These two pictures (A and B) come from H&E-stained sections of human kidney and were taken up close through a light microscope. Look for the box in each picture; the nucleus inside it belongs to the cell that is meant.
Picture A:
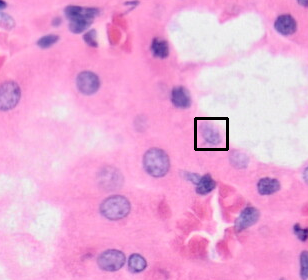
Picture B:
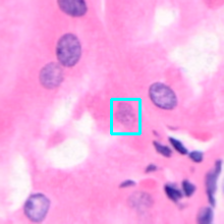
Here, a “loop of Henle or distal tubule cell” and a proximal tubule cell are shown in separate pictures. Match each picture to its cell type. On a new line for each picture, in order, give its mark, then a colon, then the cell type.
A: loop of Henle or distal tubule cell
B: proximal tubule cell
